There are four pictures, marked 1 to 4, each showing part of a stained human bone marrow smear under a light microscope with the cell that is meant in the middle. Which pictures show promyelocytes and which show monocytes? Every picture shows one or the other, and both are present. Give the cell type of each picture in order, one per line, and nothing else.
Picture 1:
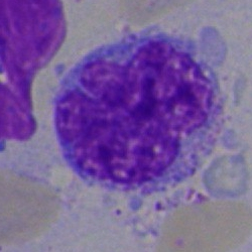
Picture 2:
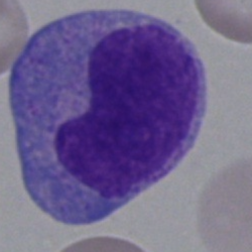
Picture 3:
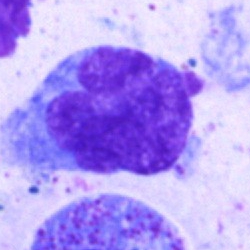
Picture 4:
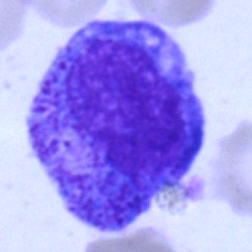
monocyte
monocyte
monocyte
promyelocyte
